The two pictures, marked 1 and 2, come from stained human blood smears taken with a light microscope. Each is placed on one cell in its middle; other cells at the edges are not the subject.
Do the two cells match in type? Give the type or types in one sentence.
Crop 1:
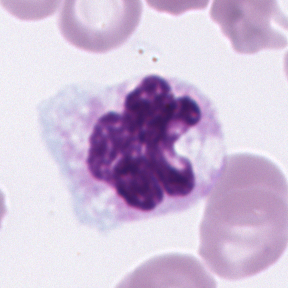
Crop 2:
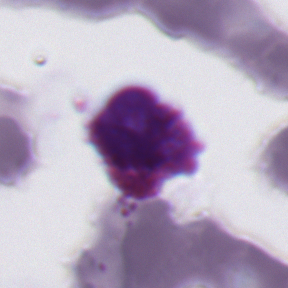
No, the cell of interest in crop 1 is a neutrophil, and in crop 2 it is an eosinophil.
